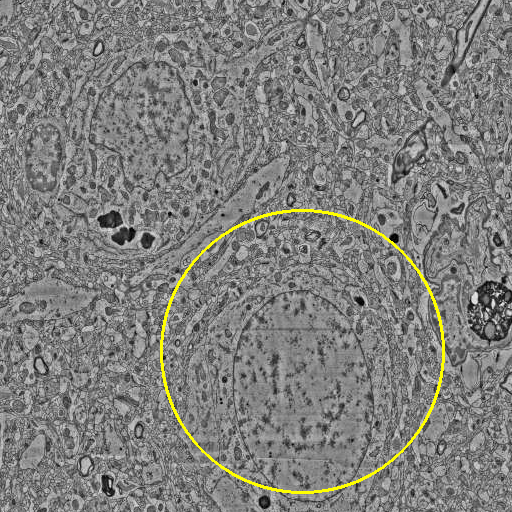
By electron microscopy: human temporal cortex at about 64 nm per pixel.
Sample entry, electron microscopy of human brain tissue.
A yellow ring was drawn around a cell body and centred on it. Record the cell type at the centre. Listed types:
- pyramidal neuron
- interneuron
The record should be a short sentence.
The cell at the ring's centre is a pyramidal neuron.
